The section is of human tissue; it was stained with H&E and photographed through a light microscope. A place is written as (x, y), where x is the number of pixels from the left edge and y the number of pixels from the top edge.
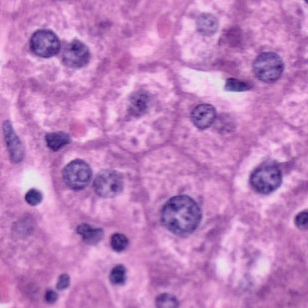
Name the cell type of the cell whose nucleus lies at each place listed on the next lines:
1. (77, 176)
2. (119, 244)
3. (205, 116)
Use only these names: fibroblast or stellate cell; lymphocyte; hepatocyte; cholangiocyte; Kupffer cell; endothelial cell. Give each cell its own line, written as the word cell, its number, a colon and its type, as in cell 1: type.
cell 1: hepatocyte
cell 2: lymphocyte
cell 3: hepatocyte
